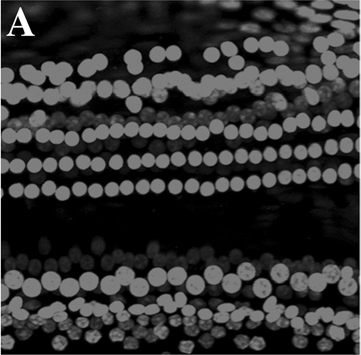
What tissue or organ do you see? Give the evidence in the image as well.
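Three parallel rows of evenly spaced round nuclei run across the upper middle of the field. A single separate row of larger round nuclei runs below them, parted by a dark band.
Answer: cochlea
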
